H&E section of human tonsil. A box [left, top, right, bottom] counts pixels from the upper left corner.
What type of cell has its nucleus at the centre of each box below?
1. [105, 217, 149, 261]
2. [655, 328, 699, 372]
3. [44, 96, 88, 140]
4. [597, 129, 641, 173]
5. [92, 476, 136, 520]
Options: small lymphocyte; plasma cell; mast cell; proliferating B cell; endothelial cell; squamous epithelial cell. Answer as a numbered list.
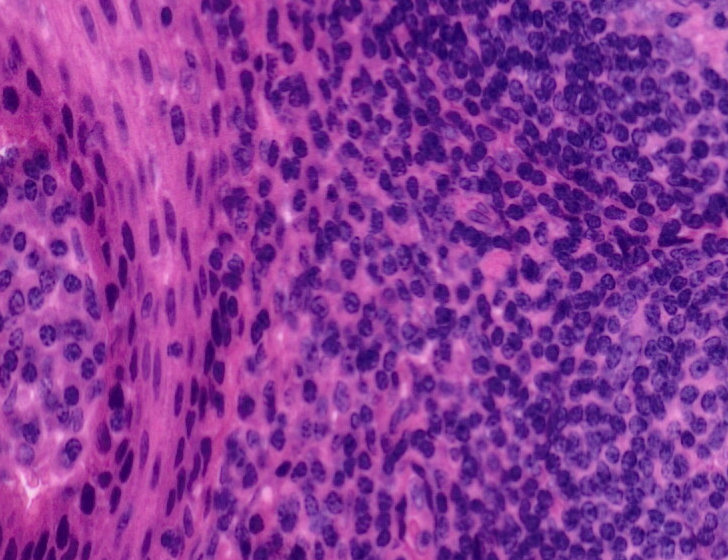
1. squamous epithelial cell
2. small lymphocyte
3. squamous epithelial cell
4. small lymphocyte
5. squamous epithelial cell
